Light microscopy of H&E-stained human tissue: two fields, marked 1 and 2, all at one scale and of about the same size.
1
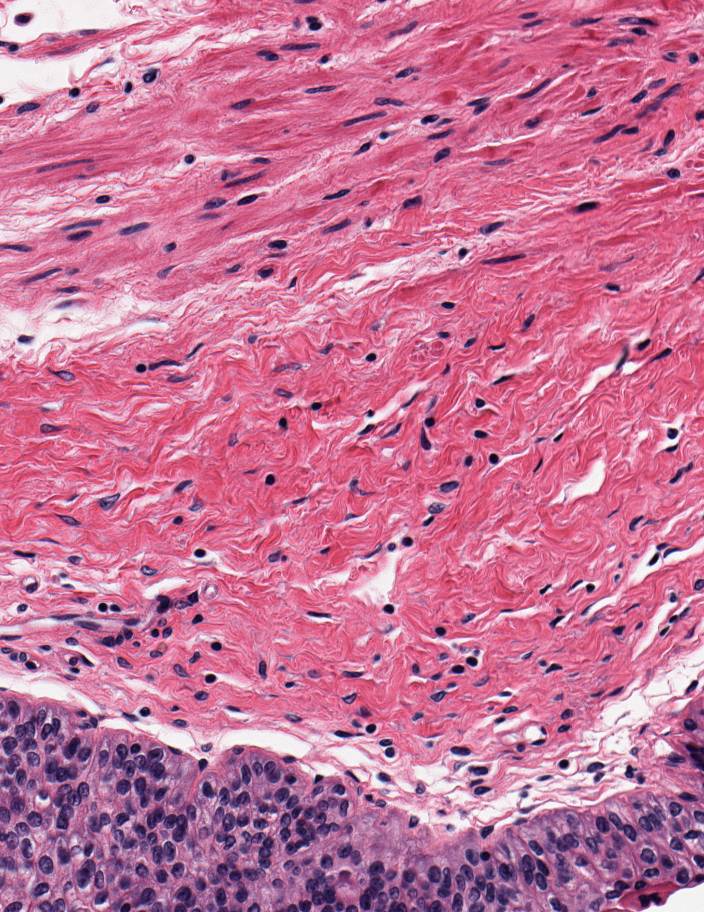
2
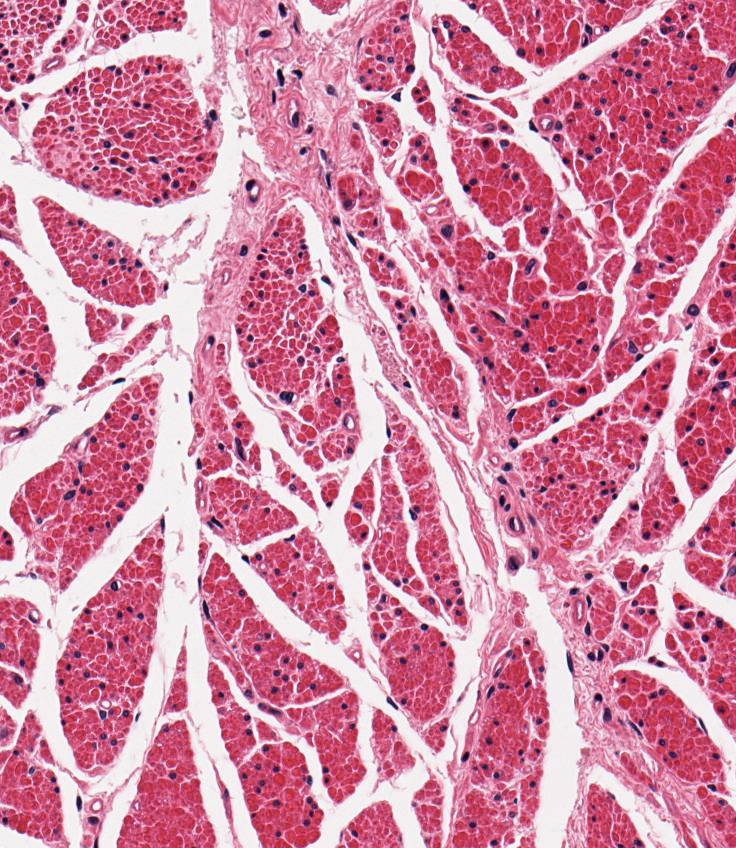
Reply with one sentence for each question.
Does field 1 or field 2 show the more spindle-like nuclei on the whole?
On the whole the nuclei of field 1 are more drawn out than those of field 2.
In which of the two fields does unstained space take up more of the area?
More of field 2 is empty and white.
